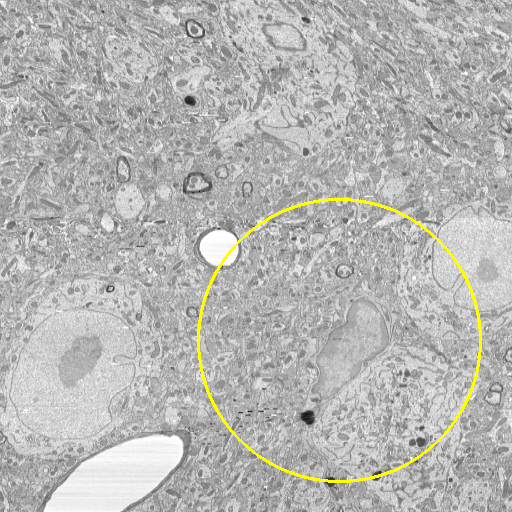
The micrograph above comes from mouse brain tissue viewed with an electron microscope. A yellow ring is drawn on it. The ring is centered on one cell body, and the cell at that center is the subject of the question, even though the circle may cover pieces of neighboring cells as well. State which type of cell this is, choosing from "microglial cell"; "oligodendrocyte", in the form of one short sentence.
The cell the ring is centered on is a microglial cell.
